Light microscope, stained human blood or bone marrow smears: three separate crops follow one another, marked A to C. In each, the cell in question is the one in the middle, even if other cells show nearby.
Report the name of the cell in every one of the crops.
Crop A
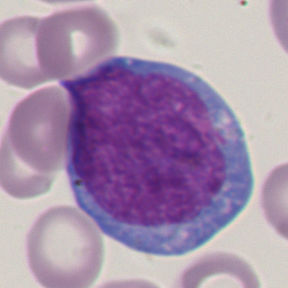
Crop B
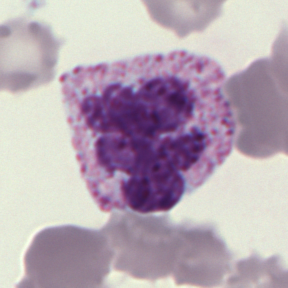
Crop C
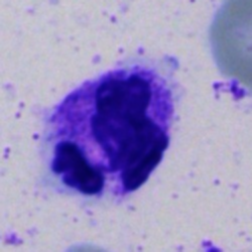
A: promyelocyte
B: basophil
C: segmented neutrophil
